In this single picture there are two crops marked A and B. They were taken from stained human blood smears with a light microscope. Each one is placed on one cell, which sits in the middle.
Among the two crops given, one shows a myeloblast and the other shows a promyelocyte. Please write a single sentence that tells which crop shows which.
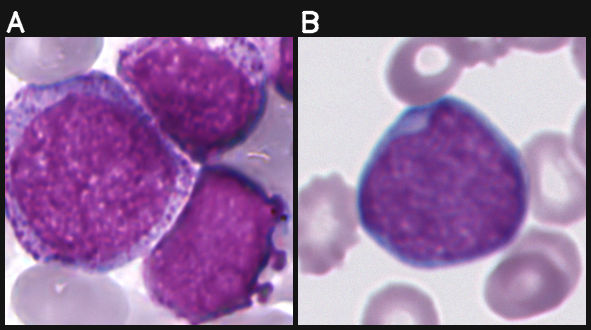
Crop A is classified as a promyelocyte, and crop B as a myeloblast.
